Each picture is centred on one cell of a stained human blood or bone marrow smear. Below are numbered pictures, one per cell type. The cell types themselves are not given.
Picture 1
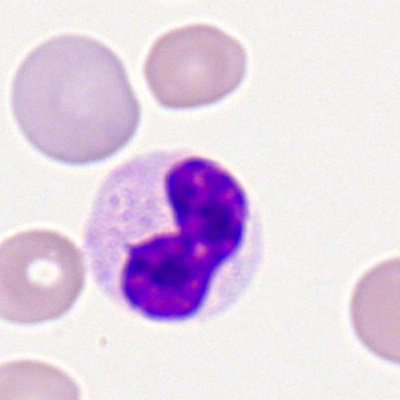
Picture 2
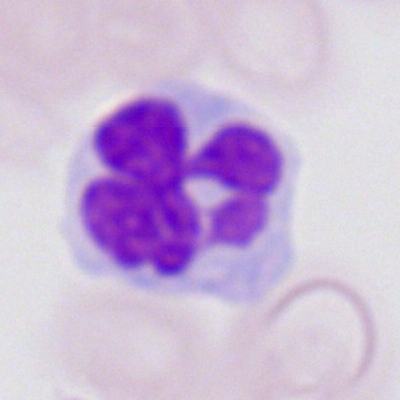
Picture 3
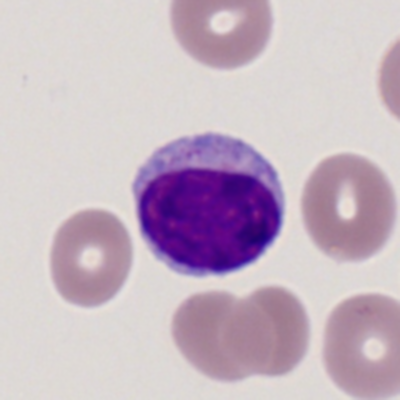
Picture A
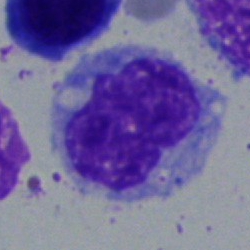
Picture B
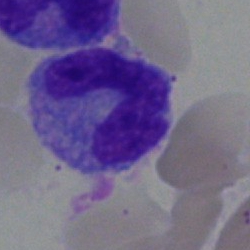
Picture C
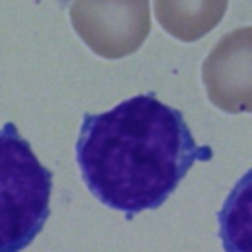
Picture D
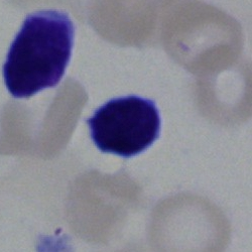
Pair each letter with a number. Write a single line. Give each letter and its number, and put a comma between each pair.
A 2, B 2, C 3, D 3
